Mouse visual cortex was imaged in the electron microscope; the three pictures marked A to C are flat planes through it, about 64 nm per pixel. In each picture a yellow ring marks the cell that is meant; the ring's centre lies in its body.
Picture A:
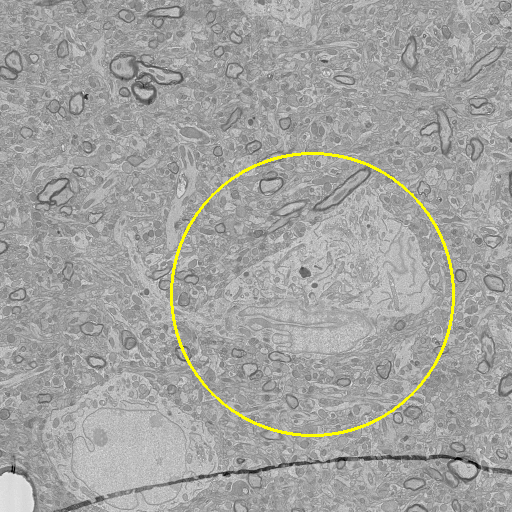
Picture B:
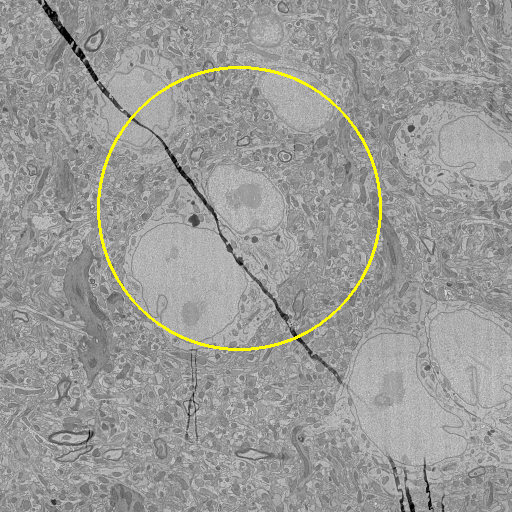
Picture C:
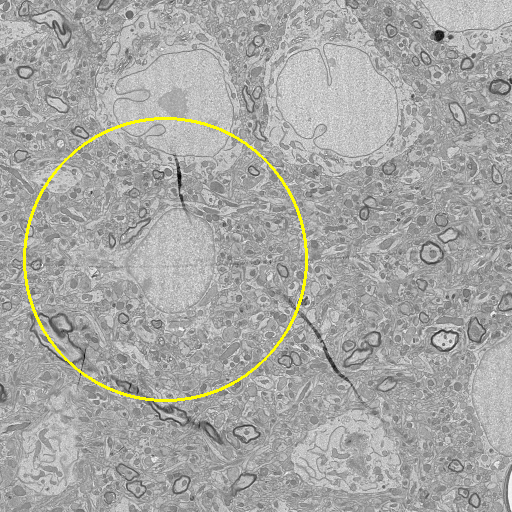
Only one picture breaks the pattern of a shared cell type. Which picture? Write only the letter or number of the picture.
C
